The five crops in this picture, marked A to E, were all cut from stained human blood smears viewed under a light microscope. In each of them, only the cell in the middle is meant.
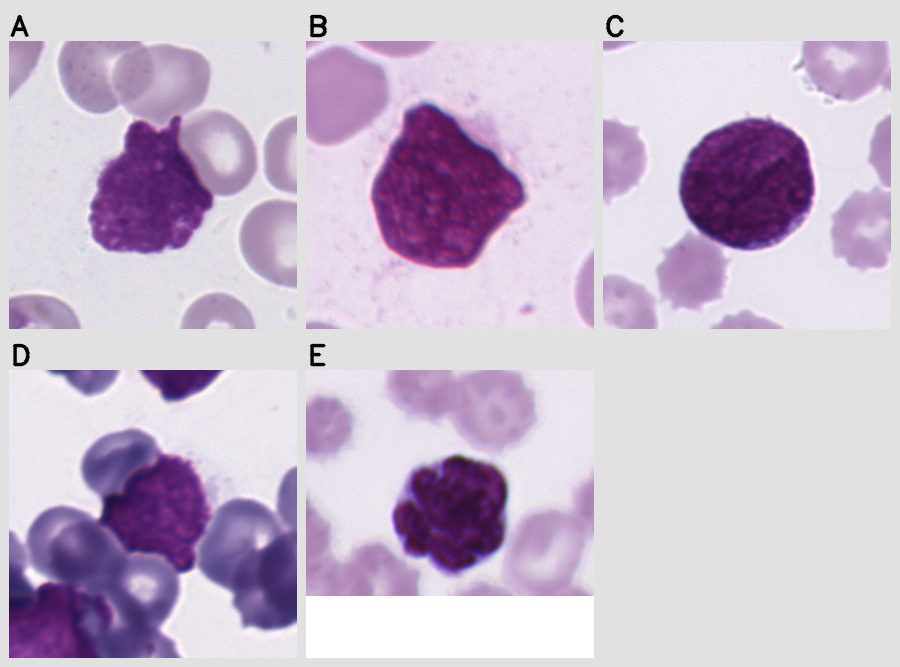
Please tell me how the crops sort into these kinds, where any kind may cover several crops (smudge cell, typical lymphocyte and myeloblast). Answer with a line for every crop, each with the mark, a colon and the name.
A: smudge cell
B: smudge cell
C: myeloblast
D: smudge cell
E: typical lymphocyte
